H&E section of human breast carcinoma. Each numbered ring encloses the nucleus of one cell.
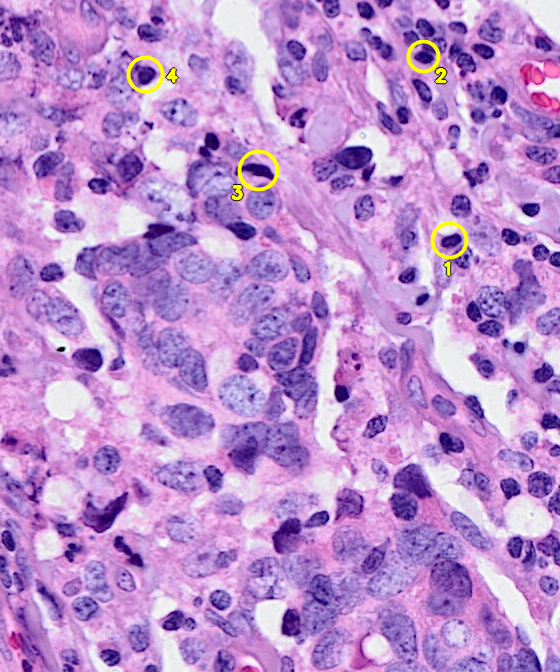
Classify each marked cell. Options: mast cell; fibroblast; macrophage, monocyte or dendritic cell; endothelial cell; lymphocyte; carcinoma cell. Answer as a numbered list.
1. lymphocyte
2. lymphocyte
3. carcinoma cell
4. lymphocyte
